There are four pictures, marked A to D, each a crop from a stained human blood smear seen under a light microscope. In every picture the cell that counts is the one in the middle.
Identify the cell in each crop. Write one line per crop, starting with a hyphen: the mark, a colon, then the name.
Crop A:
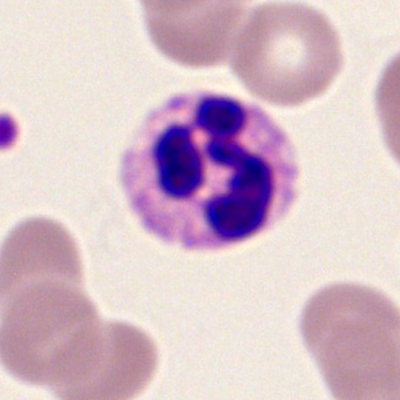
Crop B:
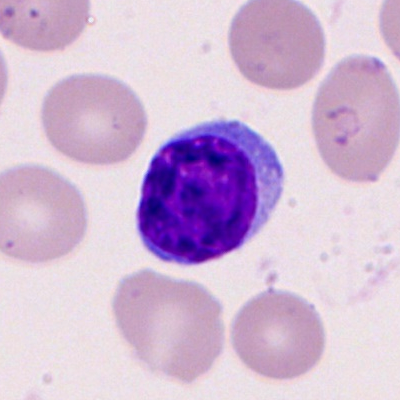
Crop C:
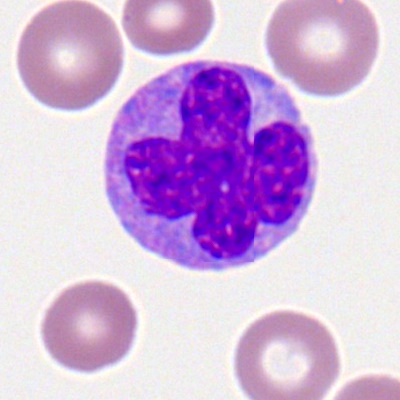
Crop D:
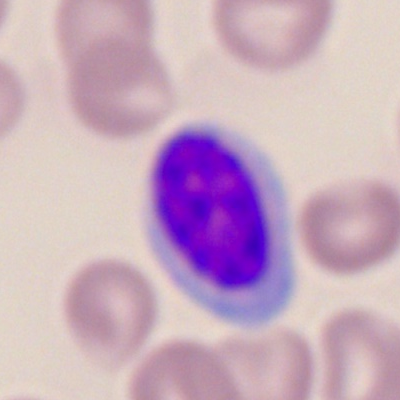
- A: neutrophil
- B: lymphocyte
- C: monocyte
- D: lymphocyte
